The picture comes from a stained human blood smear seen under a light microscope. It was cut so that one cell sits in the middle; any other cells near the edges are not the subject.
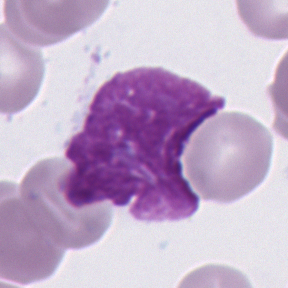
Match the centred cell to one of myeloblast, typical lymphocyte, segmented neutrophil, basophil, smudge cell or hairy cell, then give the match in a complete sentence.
This particular crop is centered on a smudge cell.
